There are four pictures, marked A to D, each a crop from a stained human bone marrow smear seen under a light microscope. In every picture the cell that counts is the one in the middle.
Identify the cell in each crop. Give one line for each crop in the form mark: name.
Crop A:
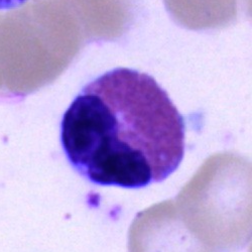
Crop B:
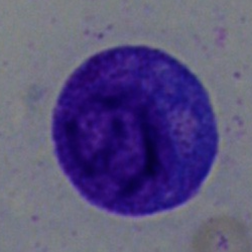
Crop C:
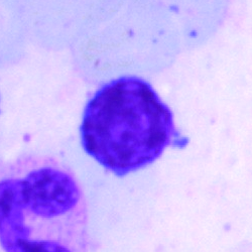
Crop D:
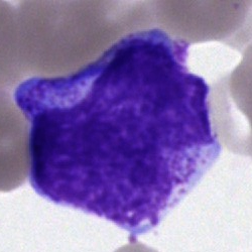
A: eosinophil
B: promyelocyte
C: lymphocyte
D: promyelocyte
